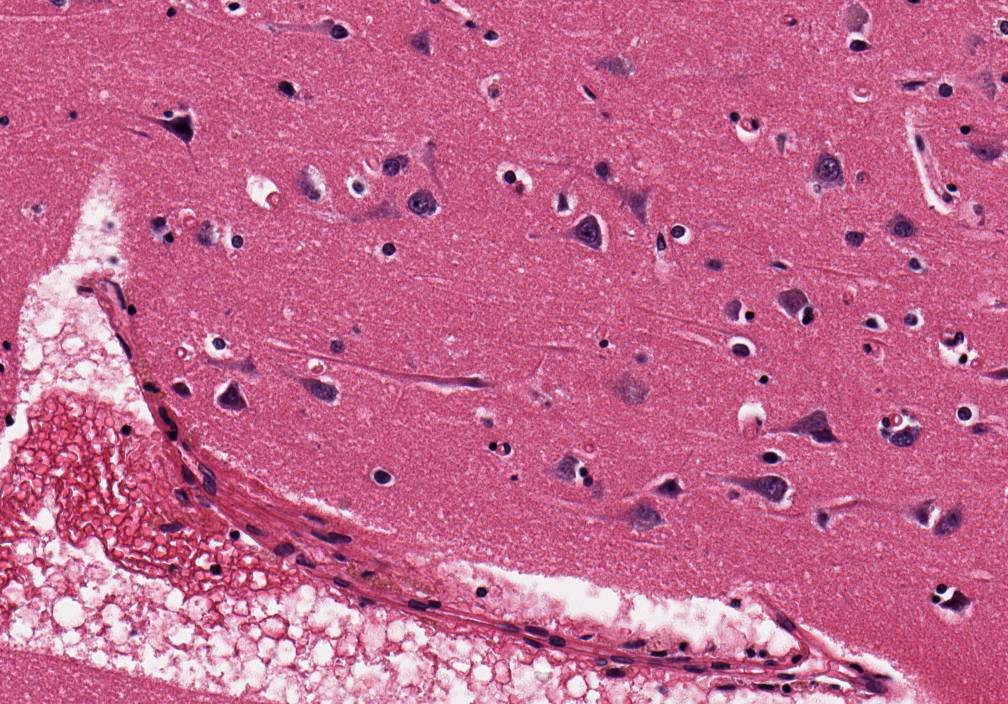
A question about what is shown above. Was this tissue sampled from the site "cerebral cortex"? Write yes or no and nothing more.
yes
